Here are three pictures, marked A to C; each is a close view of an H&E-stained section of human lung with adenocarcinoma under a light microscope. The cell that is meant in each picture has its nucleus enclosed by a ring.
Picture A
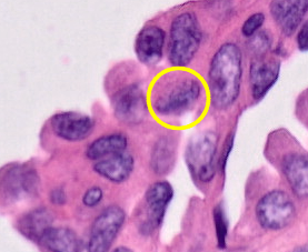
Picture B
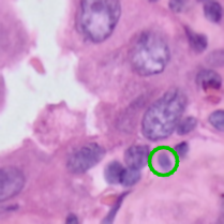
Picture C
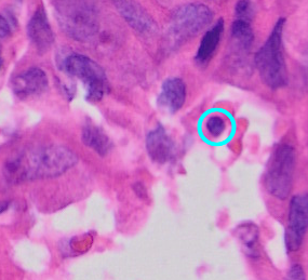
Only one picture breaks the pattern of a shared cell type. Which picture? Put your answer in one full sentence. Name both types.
Unlike the rest, which show lymphocytes, picture A shows a carcinoma cell.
